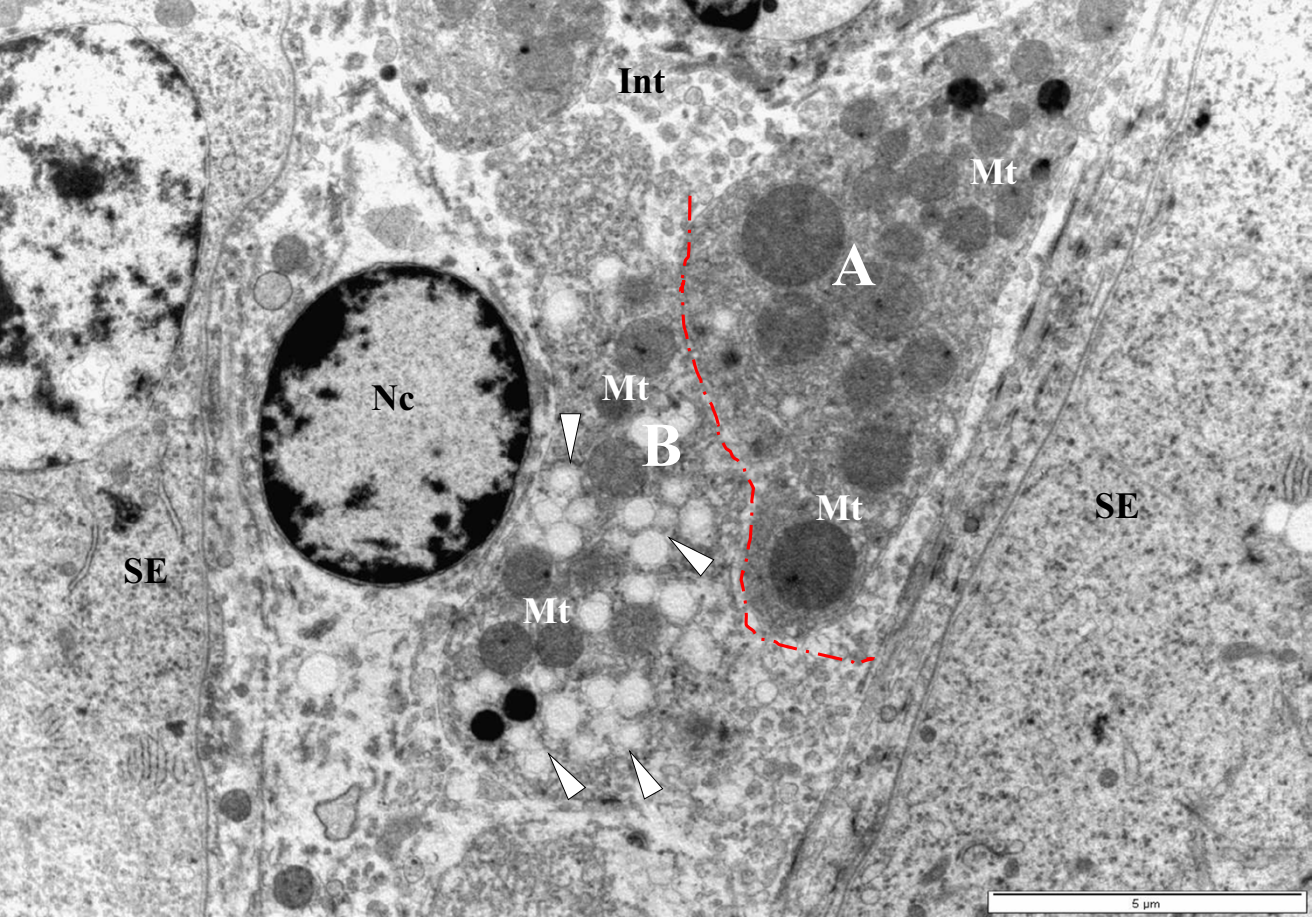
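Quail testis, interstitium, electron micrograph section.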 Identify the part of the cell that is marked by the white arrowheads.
lipid droplets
